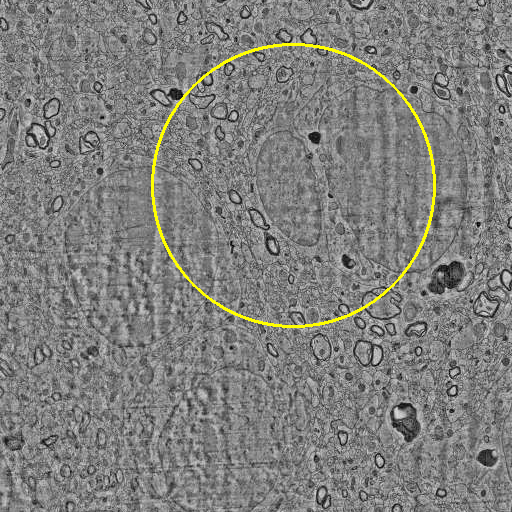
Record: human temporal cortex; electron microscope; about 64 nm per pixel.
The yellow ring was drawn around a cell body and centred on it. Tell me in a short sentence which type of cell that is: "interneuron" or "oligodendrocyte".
The cell at the ring's centre is an oligodendrocyte.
